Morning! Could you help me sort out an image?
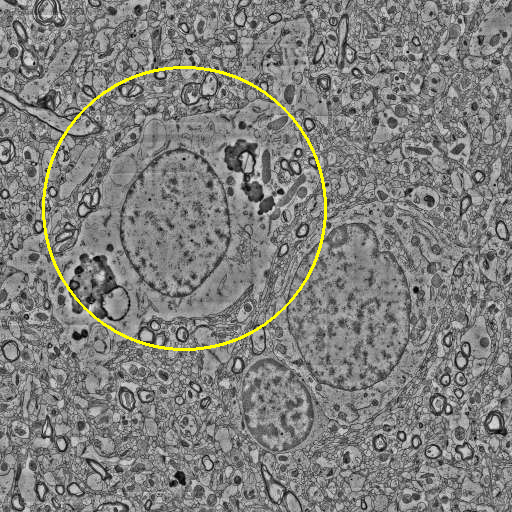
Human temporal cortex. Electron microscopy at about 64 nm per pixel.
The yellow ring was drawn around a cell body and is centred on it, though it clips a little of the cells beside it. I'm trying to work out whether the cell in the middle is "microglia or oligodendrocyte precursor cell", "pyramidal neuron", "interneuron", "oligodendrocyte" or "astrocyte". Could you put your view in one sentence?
The ringed cell body is that of an astrocyte.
